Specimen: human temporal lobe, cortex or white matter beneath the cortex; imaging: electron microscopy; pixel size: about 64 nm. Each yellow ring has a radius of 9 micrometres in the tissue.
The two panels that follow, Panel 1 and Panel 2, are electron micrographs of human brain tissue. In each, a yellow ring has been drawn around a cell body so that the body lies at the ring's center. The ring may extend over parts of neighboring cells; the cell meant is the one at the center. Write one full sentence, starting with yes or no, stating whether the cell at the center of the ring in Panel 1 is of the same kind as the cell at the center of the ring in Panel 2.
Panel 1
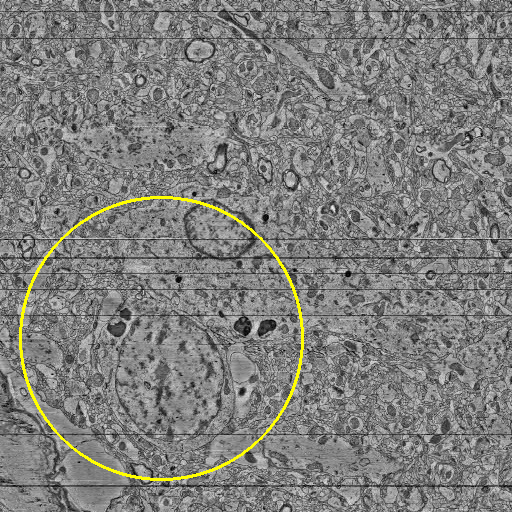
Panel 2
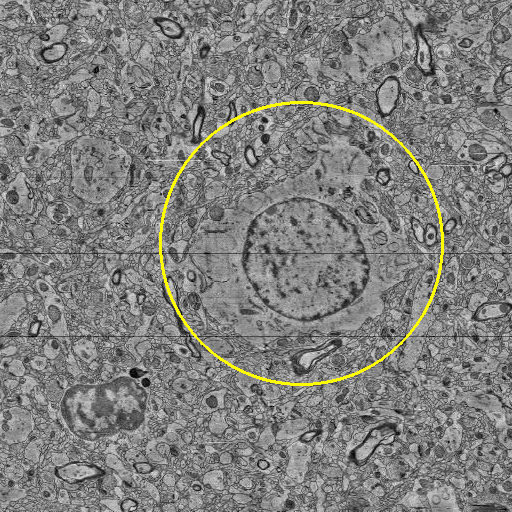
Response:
No, the cells in the two panels are of two kinds.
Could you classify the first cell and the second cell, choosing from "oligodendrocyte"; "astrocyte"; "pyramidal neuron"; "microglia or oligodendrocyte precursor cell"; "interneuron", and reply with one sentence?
The second cell is an astrocyte, while the first is an interneuron.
